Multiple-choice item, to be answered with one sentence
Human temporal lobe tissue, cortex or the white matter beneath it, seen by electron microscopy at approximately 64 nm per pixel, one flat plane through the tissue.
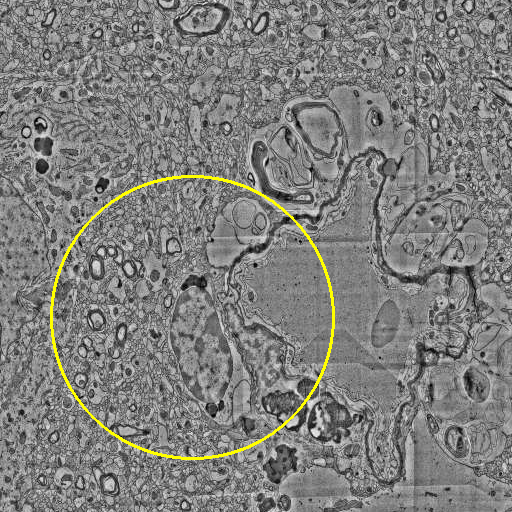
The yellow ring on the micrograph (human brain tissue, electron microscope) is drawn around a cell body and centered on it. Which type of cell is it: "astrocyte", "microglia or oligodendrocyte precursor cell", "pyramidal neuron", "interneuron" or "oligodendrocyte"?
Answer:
The ring is centered on a microglial cell or oligodendrocyte precursor cell.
